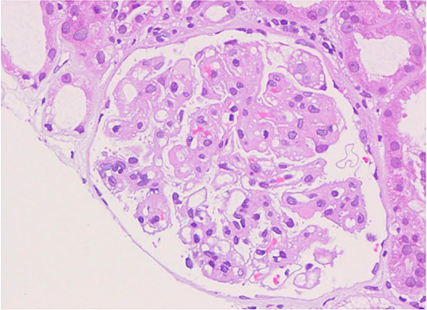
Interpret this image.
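This is kidney tissue with a glomerulus in the centre, surrounded by tubules. The glomerular tuft is made of open capillary loops with scattered nuclei and a few red blood cells, enclosed by a thin capsule with an empty space around the tuft, while the surrounding tubules are lined by cuboidal cells with pink cytoplasm and round nuclei.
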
